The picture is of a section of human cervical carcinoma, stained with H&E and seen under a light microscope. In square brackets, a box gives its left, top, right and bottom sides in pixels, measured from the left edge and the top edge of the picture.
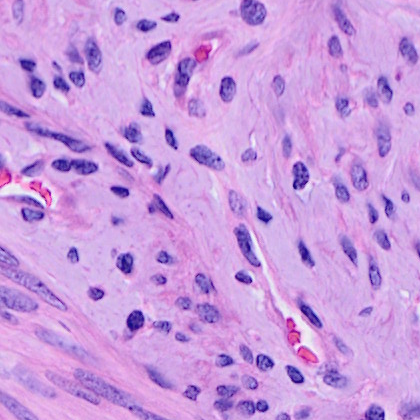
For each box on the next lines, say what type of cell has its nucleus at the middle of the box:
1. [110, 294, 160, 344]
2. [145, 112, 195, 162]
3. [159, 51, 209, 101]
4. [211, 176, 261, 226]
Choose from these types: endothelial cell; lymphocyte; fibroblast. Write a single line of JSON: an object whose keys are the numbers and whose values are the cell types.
{"1": "lymphocyte", "2": "fibroblast", "3": "endothelial cell", "4": "endothelial cell"}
